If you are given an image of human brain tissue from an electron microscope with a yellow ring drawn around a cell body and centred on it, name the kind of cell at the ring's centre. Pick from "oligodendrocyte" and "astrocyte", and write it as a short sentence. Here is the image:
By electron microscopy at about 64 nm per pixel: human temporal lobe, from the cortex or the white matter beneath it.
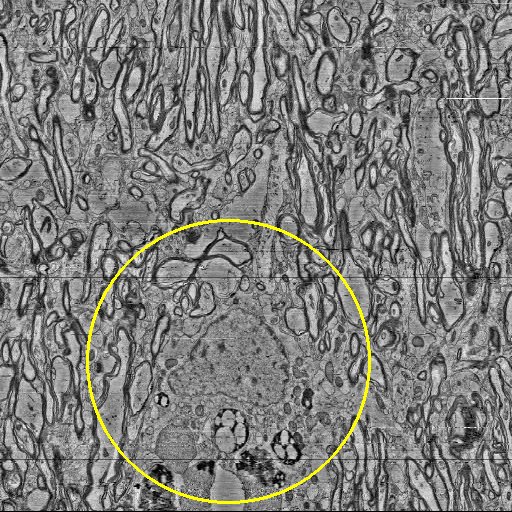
The cell at the ring's centre is an astrocyte.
